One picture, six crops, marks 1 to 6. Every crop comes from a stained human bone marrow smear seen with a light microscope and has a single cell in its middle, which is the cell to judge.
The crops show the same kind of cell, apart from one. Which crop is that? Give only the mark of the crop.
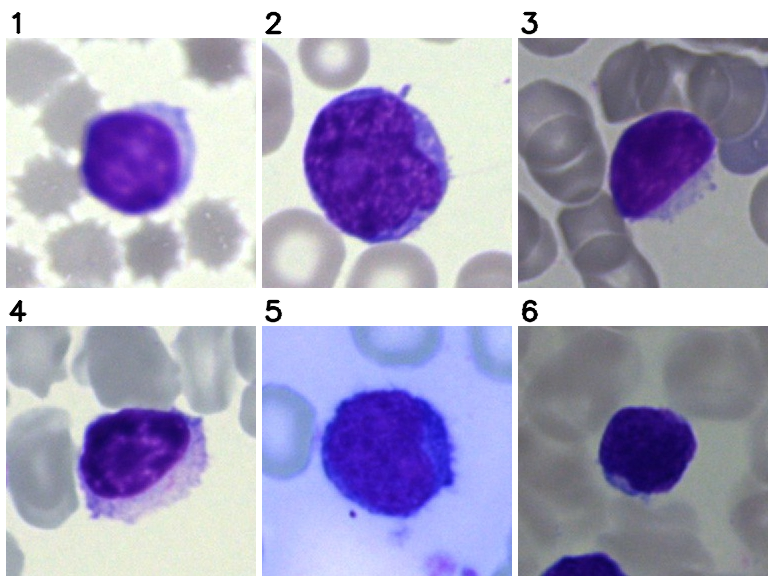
2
